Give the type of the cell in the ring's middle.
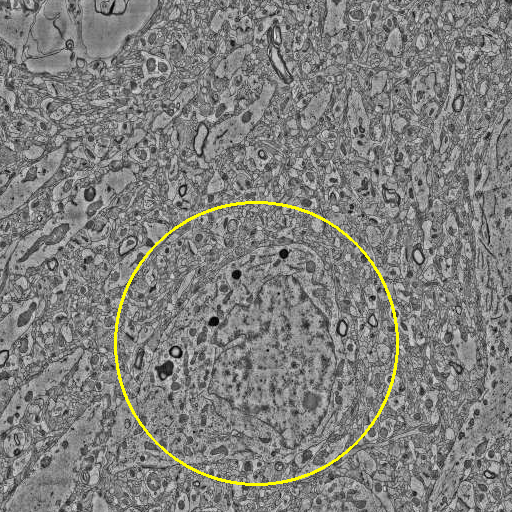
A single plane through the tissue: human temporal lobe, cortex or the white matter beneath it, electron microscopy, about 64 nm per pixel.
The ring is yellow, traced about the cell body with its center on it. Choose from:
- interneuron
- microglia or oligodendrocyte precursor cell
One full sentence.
Here, an interneuron is the cell lying at the center of the yellow ring.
